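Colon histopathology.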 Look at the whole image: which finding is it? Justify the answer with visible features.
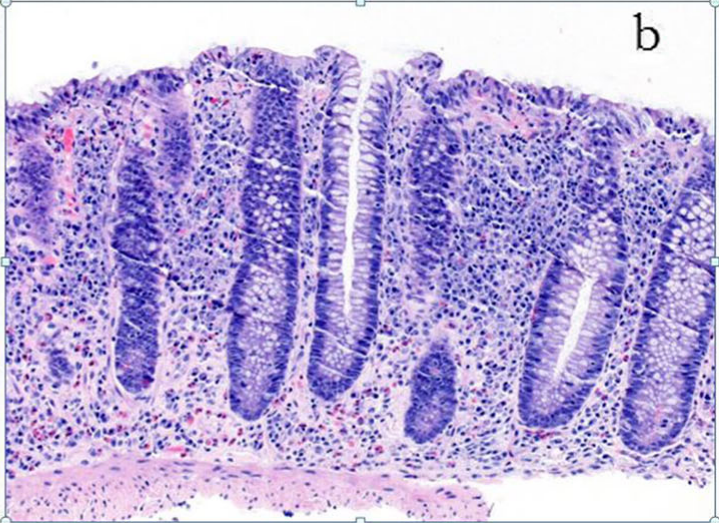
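The lamina propria between the crypts is densely packed with small round nucleated cells. The cellular infiltrate extends throughout the mucosa from surface to base of the crypts. Scattered cells with pink-red cytoplasm lie among the dark nuclei. That points to this answer: diffuse lamina propria inflammatory cell infiltrate.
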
